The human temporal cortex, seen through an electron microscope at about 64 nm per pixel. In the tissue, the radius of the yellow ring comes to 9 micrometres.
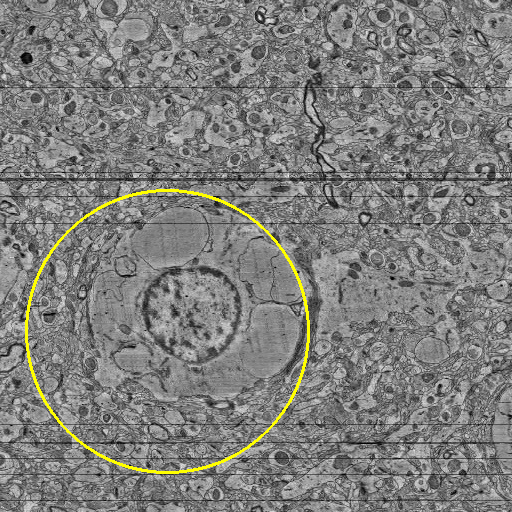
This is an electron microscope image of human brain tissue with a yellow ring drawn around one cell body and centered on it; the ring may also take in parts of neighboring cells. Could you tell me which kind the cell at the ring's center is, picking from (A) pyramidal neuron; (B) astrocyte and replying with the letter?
B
